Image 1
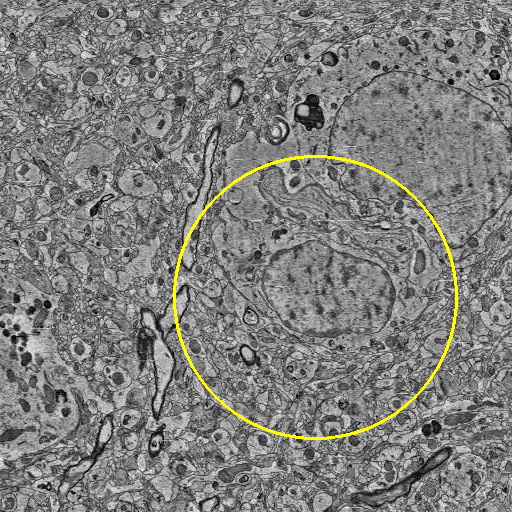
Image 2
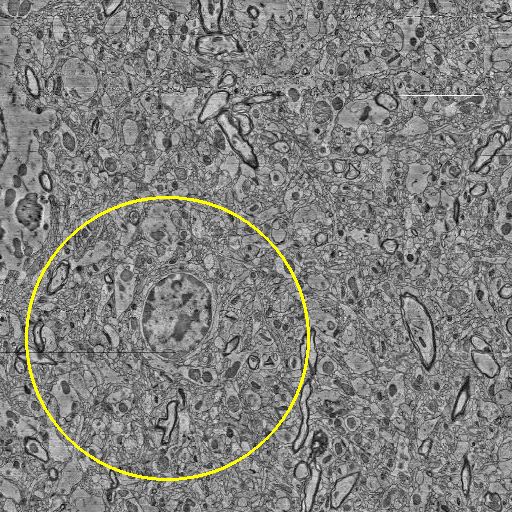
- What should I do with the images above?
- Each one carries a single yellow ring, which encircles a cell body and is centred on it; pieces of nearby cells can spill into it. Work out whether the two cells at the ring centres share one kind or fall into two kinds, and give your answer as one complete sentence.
The ring-centre cells of Image 1 and Image 2 share one kind.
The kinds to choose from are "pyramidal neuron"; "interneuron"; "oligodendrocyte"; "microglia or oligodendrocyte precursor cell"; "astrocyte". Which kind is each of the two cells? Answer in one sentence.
Each of the ringed cells, first and second, is a microglial cell or oligodendrocyte precursor cell.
